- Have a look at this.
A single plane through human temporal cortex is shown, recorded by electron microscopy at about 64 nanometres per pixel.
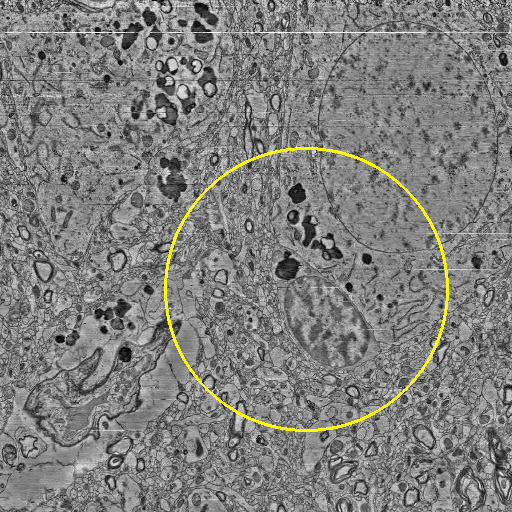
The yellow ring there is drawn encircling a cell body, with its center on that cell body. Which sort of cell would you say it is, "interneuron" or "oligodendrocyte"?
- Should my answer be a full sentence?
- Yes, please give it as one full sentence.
For this picture, an oligodendrocyte is the cell where the yellow ring has its center.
